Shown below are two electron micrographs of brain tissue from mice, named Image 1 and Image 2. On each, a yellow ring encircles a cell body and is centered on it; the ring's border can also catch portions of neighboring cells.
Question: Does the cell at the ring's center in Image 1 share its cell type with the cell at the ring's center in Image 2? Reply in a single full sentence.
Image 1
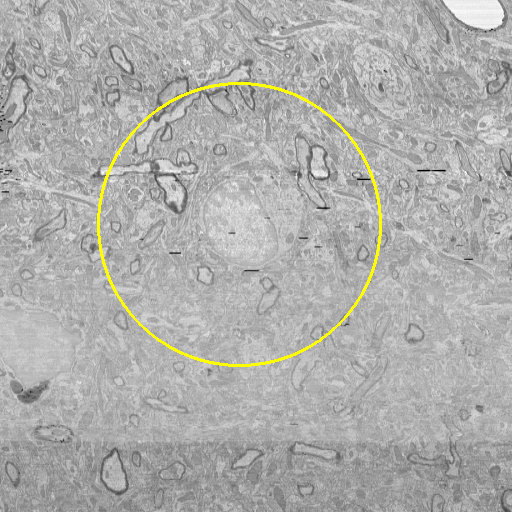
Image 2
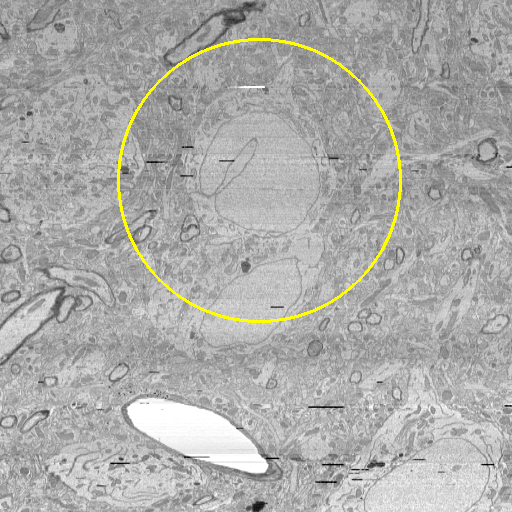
No, the two cells at the ring centers, in Image 1 and Image 2, are of two cell types.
